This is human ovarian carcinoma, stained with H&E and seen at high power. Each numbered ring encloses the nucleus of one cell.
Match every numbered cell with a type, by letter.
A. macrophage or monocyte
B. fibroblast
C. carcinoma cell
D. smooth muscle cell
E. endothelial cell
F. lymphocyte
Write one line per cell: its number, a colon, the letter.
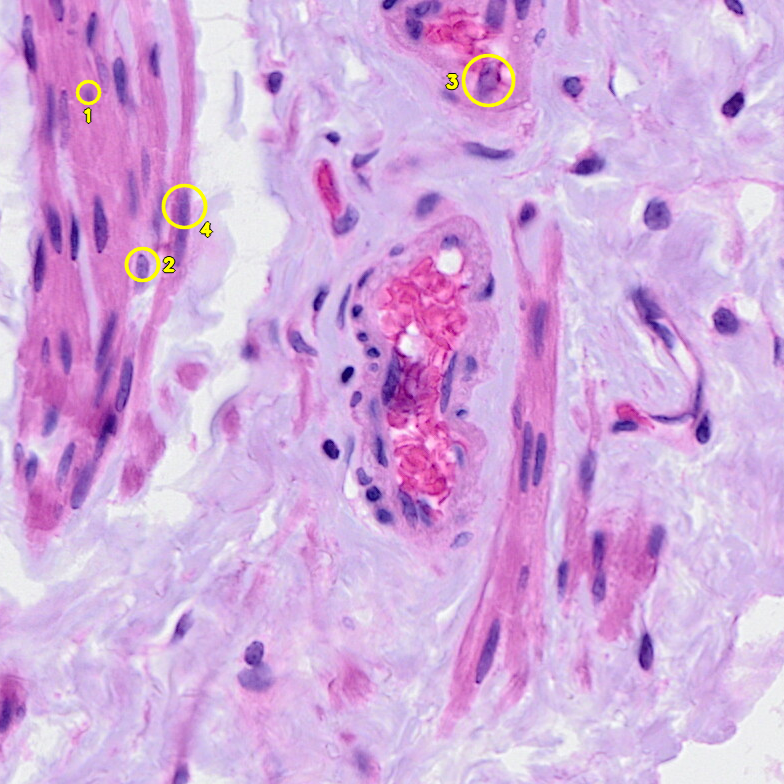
1: D
2: D
3: E
4: D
